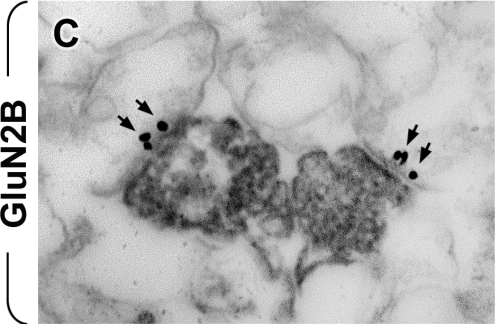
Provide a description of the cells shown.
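Electron micrograph of neuropil with a presynaptic terminal filled with dark granular reaction product. The labelled profile is rounded and lobed, its contents obscured by the dense precipitate. Clusters of black particles lie along its outer margin at two separate sites, on the left and on the right. These sites are membrane appositions with neighbouring pale profiles, consistent with synapses. The surrounding neuropil consists of pale membrane-bound profiles.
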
